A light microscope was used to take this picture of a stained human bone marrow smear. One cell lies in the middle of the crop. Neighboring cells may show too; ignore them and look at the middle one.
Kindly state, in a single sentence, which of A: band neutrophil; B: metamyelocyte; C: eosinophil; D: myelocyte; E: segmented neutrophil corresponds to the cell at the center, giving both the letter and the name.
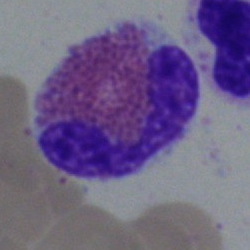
The centrally positioned cell is an eosinophil, consistent with option C, which is correct.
